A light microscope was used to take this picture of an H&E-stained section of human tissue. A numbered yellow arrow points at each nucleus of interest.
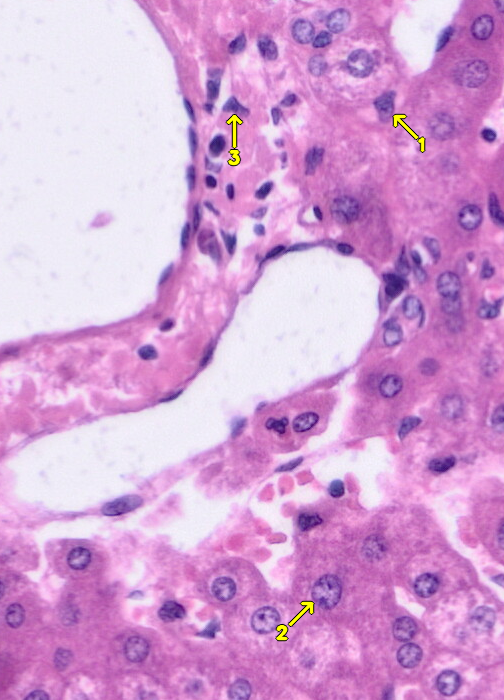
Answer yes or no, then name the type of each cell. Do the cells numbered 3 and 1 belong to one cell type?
Yes, both of cells 3 and 1 are fibroblasts or stellate cells.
